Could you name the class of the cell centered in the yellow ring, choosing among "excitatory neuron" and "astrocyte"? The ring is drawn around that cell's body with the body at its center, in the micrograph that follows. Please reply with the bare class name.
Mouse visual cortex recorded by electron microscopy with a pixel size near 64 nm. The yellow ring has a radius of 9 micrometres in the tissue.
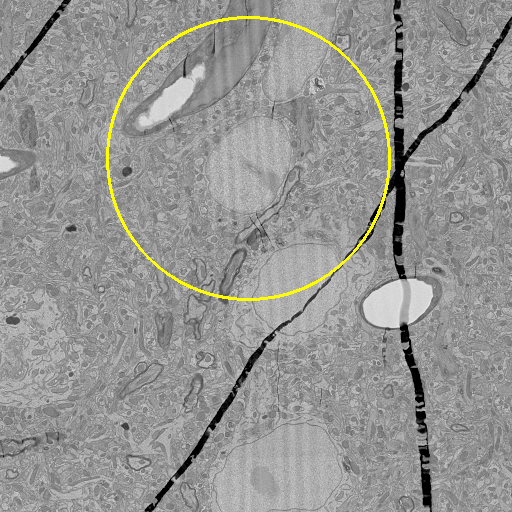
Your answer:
astrocyte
